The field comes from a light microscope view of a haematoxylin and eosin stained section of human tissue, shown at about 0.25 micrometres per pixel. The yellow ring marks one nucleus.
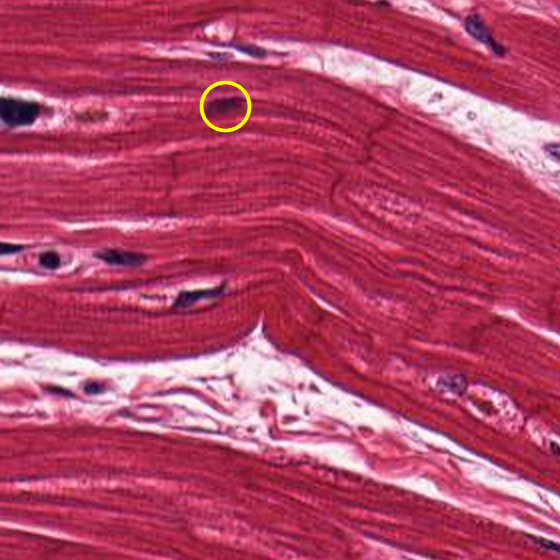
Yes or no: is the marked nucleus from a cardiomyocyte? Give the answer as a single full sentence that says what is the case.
Yes, the cell that houses the marked nucleus is a cardiomyocyte.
